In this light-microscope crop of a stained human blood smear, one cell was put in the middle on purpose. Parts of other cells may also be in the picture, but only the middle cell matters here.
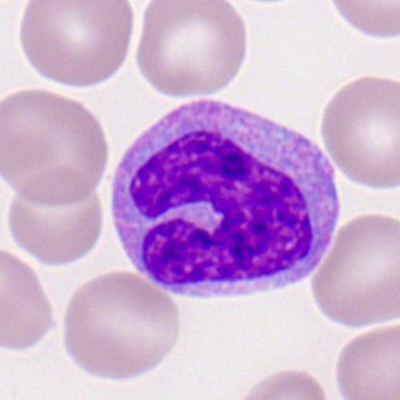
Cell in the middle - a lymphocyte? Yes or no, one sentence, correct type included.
No, that is not a lymphocyte; the middle cell is a monocyte.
